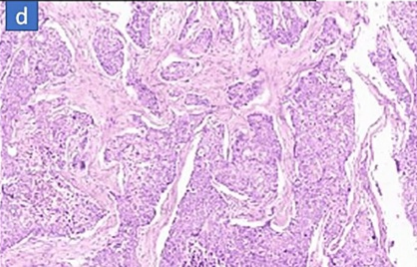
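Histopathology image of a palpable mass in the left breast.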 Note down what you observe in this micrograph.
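The cells have purple nuclei crowded close together, with pink cytoplasm between them. Bands of paler pink, wavy fibrous stroma run between the nests and divide them into irregular islands of varying size. Narrow clear clefts separate some nests from the surrounding stroma. Toward the right edge the tissue is looser, with pale pink strands and open spaces.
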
